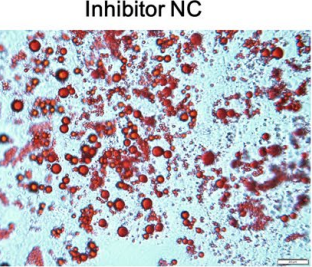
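Cultured adipocytes laden with red-stained lipid droplets, grouped in dense clusters separated by pale unstained areas. Droplets are round and of mixed sizes, from small granules to large globules.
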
